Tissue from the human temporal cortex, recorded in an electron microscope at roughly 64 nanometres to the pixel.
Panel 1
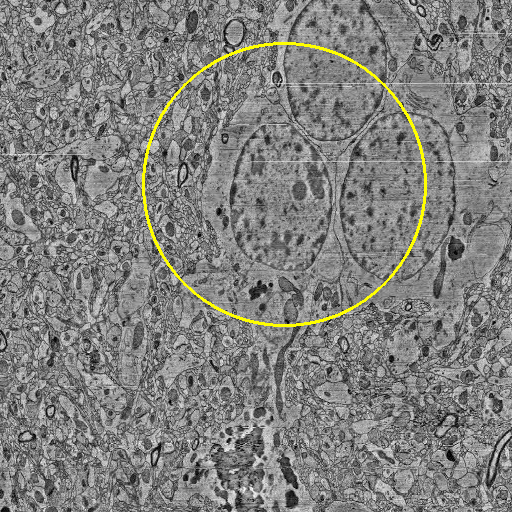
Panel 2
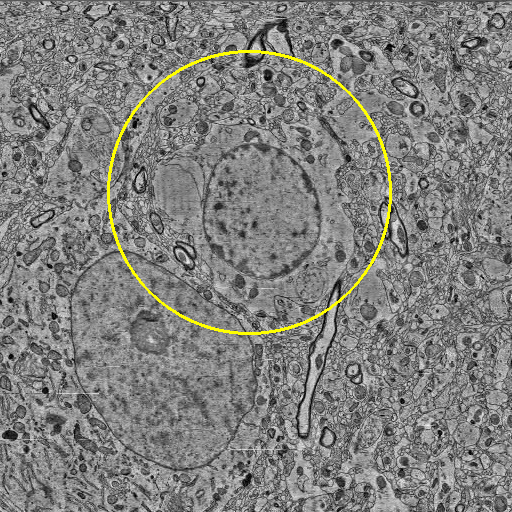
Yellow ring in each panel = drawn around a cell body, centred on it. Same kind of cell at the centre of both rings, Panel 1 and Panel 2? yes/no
yes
